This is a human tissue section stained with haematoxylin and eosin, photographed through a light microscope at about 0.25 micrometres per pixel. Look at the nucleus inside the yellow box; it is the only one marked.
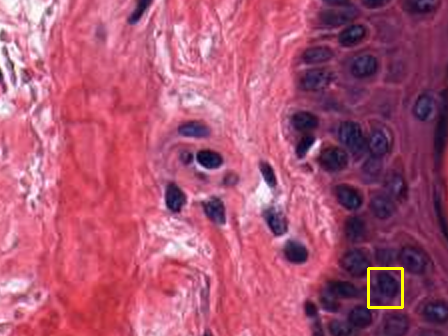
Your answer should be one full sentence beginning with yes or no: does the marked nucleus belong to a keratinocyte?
Yes, the owner of the marked nucleus is a keratinocyte.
